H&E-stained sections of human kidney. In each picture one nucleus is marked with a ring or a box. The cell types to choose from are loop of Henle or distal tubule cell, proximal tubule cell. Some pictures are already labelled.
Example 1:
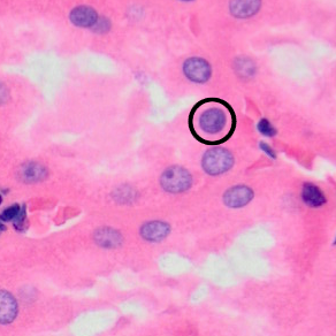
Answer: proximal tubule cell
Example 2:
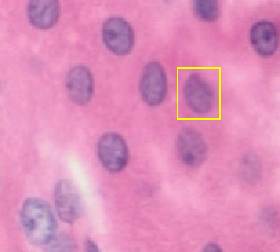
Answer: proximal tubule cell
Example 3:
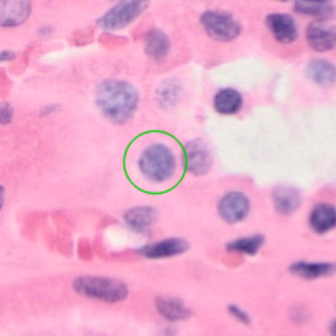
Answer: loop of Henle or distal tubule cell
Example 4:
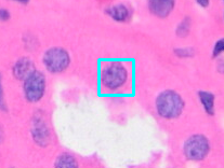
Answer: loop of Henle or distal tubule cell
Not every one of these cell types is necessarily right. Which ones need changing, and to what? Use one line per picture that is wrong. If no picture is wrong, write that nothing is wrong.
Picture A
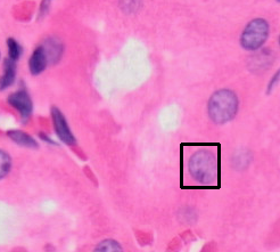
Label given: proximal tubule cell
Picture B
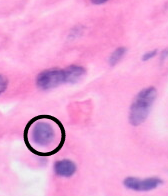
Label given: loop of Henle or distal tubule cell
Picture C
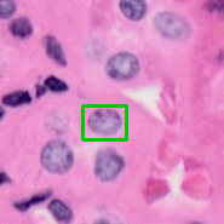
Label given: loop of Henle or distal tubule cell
Nothing to fix; every label fits.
